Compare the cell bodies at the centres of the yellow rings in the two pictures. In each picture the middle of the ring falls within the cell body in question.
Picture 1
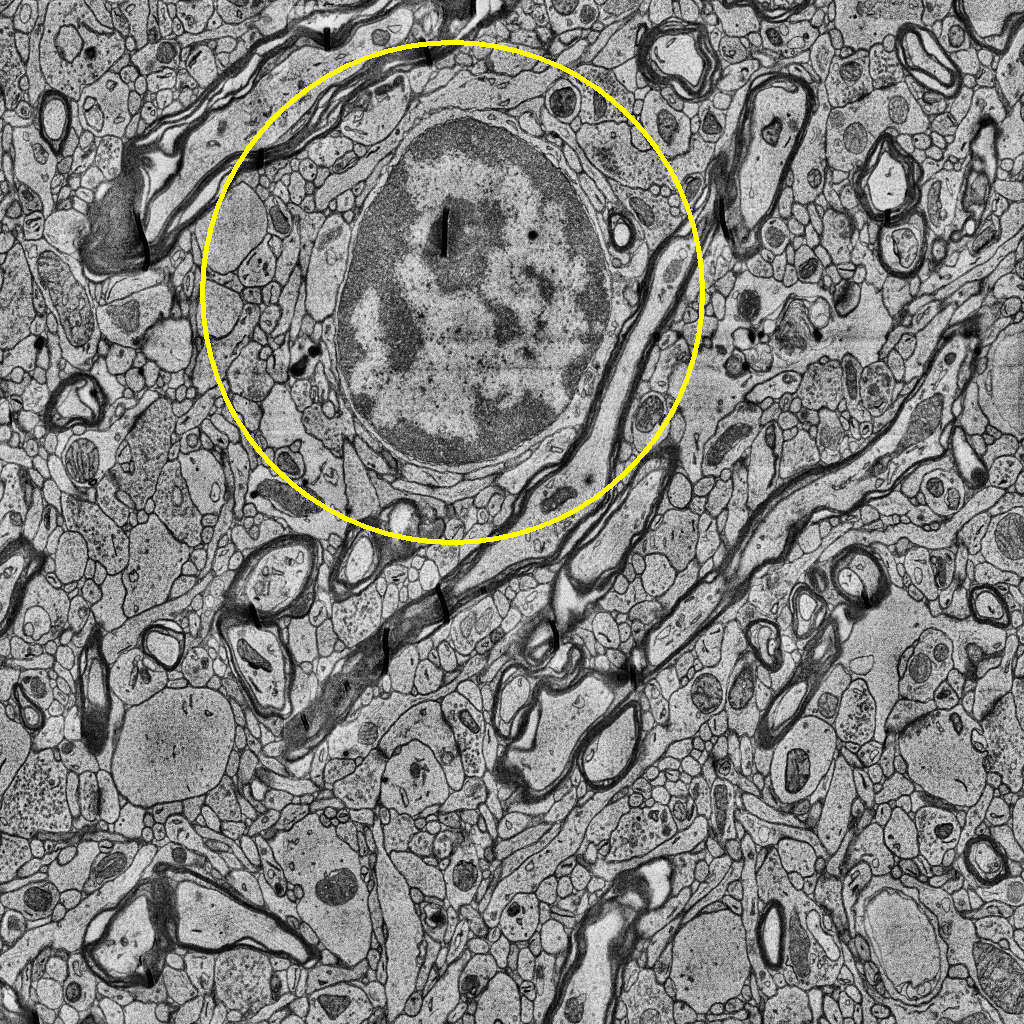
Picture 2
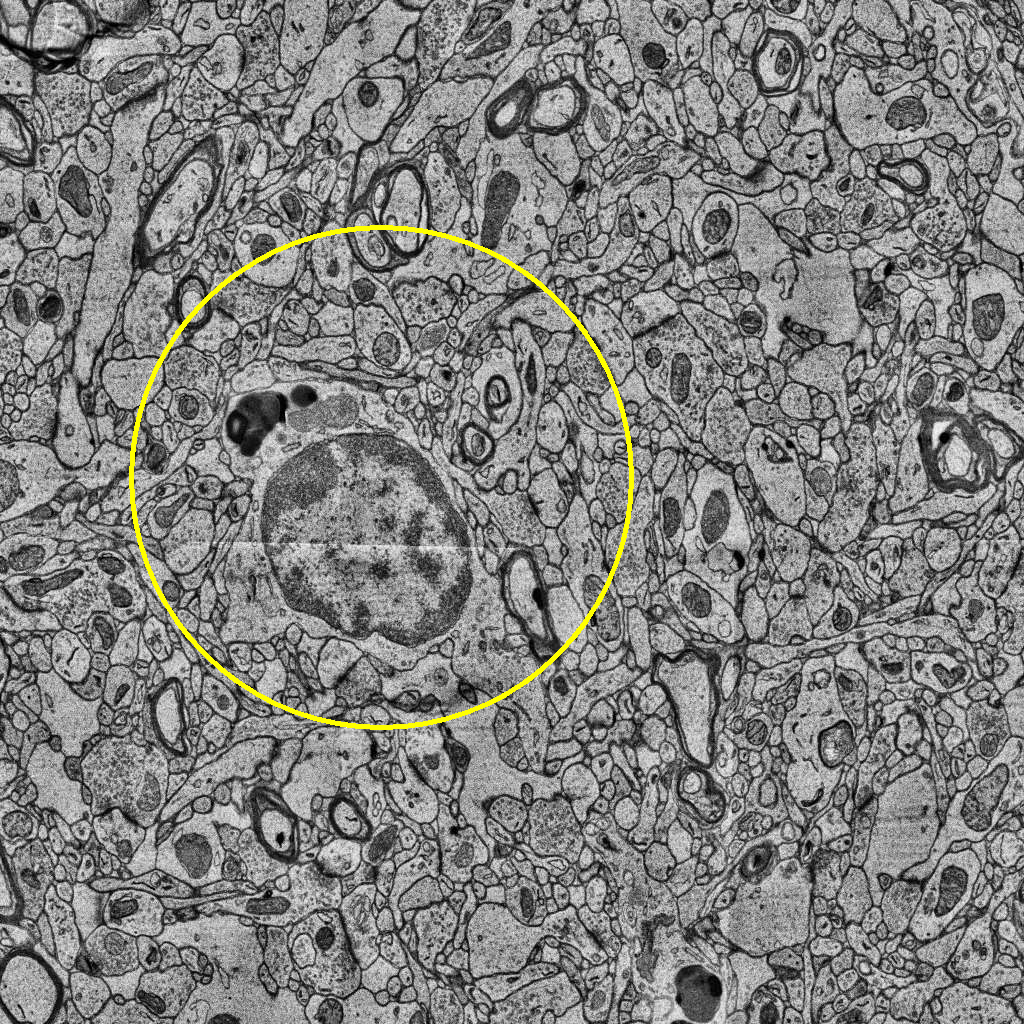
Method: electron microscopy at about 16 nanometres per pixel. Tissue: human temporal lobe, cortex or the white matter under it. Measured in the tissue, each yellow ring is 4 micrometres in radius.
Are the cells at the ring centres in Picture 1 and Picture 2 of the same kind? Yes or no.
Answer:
yes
